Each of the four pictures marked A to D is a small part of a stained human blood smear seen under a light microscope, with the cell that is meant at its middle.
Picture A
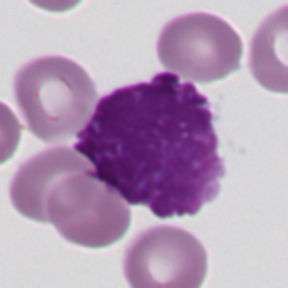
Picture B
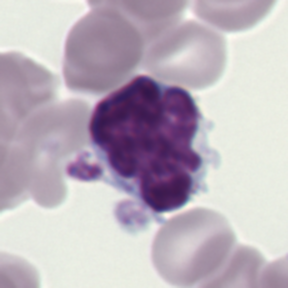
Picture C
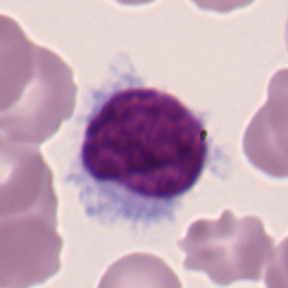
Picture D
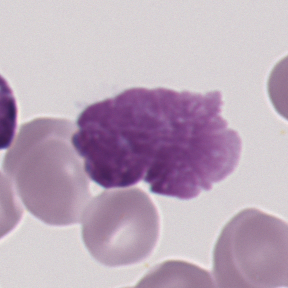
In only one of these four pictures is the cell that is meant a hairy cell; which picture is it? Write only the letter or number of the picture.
C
